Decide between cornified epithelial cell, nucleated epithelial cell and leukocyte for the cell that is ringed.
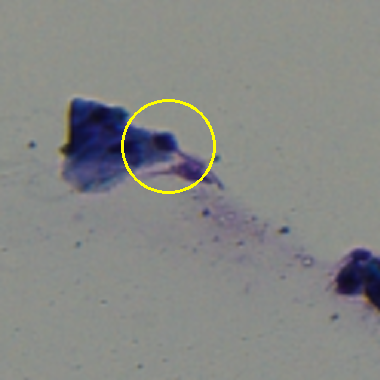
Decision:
I take the ringed cell for a nucleated epithelial cell.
